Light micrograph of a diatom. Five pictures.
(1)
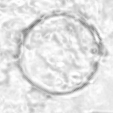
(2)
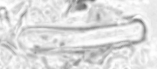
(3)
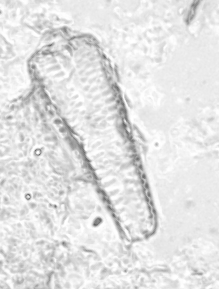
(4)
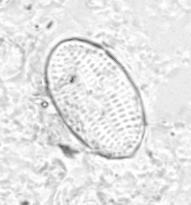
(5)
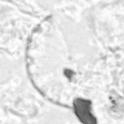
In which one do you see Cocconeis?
In picture 4.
